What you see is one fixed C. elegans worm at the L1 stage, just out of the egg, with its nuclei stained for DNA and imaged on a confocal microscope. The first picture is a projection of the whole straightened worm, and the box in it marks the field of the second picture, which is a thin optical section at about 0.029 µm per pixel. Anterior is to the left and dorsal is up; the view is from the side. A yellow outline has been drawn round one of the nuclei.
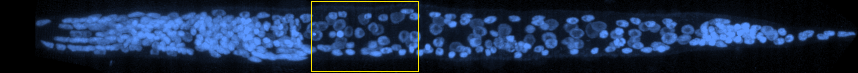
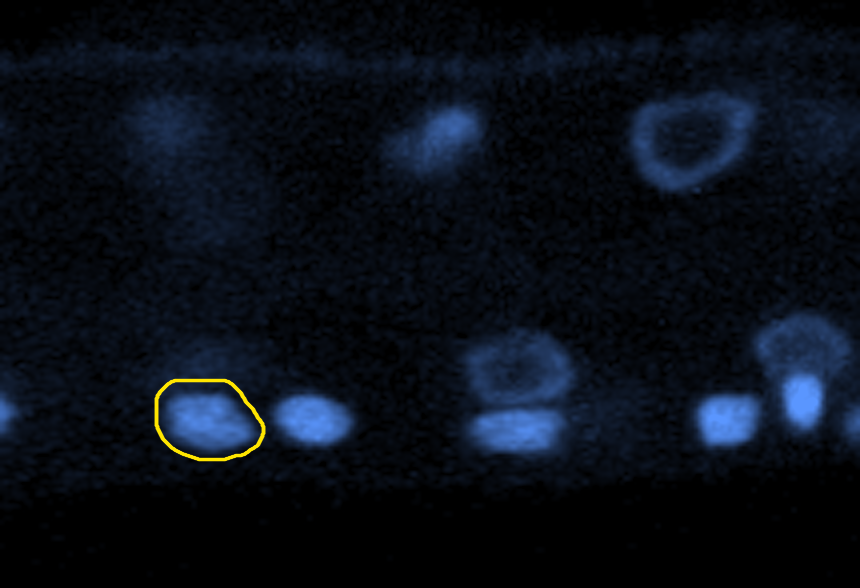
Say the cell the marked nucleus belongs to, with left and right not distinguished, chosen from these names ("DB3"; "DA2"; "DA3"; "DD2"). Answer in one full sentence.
It is the nucleus of DB3, a neuron.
